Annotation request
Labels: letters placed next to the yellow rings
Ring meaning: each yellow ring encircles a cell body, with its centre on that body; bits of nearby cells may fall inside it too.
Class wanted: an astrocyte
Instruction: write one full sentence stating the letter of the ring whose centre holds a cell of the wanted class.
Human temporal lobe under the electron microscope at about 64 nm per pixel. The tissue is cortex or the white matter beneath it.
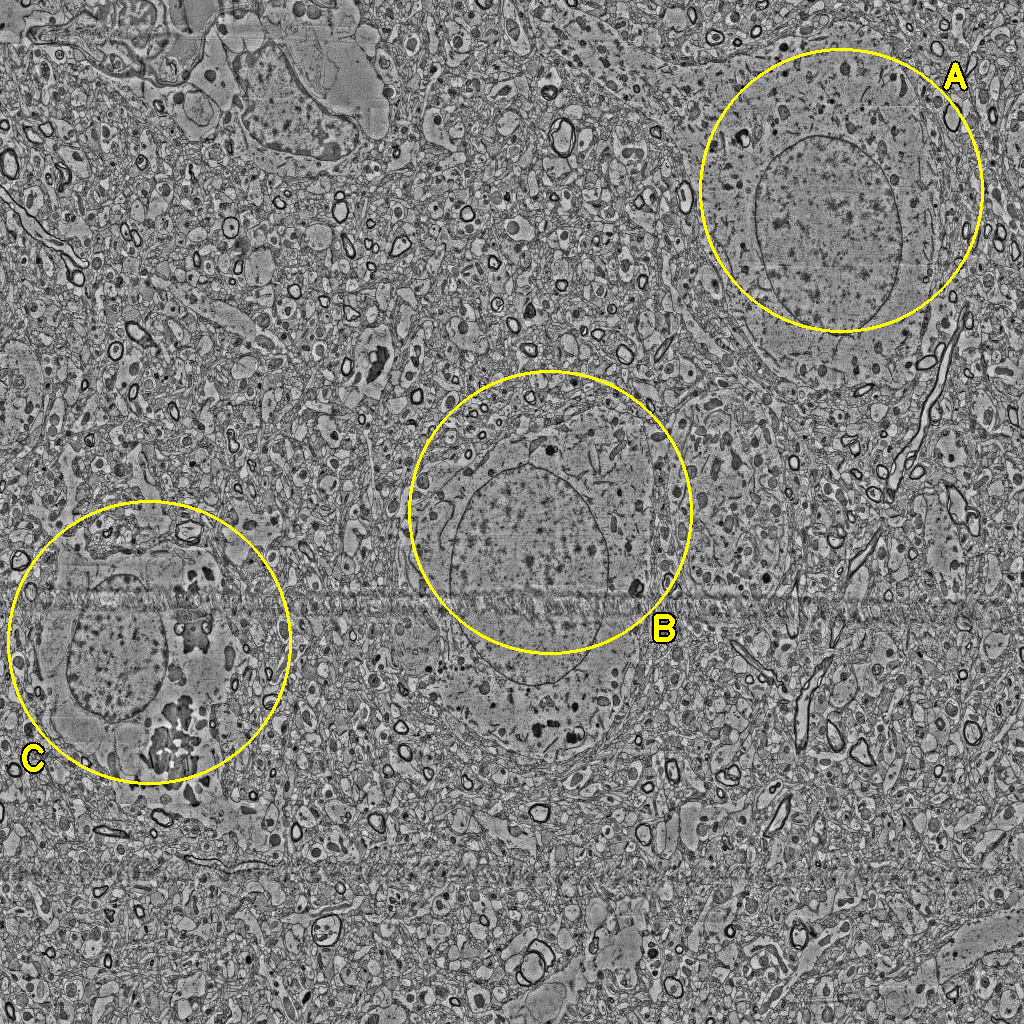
For this annotation, a cell of that kind sits at the centre of ring C.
